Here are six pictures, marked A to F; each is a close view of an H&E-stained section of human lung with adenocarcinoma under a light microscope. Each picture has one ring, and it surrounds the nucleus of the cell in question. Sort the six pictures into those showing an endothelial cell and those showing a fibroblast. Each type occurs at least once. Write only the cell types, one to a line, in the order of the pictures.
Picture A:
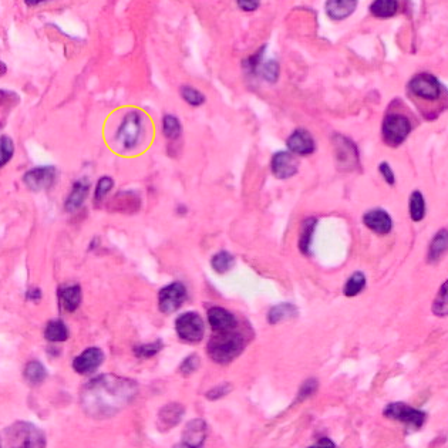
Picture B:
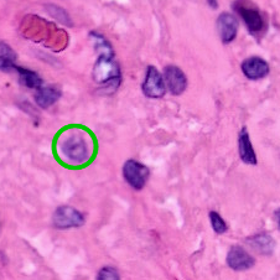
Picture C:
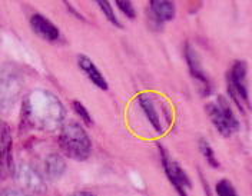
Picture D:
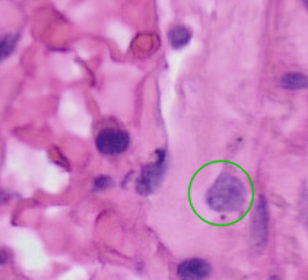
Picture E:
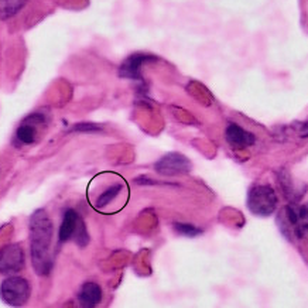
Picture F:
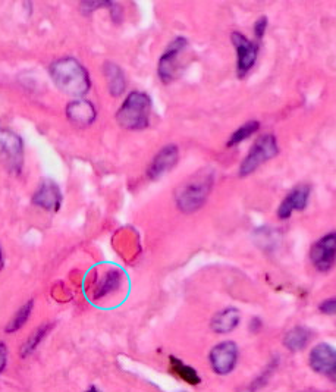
fibroblast
fibroblast
fibroblast
fibroblast
endothelial cell
endothelial cell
